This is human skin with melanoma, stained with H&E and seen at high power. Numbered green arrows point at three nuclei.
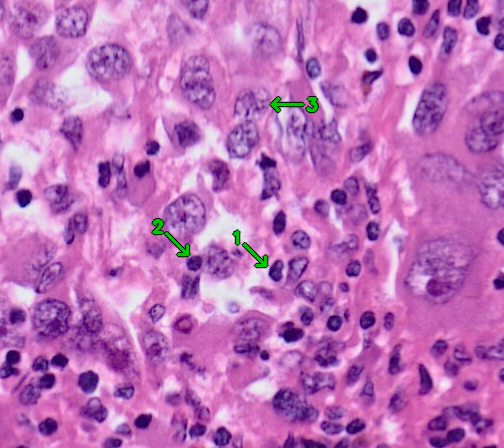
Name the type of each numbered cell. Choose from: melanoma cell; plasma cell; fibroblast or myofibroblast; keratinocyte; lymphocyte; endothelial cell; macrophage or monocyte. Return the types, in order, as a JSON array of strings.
["lymphocyte", "lymphocyte", "melanoma cell"]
